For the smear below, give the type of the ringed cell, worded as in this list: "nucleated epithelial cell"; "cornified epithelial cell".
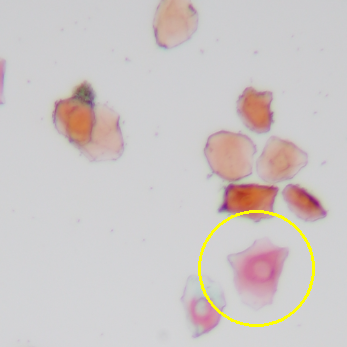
nucleated epithelial cell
